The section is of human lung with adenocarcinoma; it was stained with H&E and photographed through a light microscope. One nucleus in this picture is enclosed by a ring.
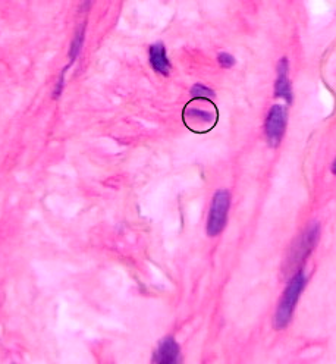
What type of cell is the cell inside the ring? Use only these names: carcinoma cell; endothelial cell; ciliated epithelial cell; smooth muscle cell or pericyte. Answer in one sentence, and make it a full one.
Cytologically, the cell inside the ring is to be regarded as a smooth muscle cell or pericyte.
